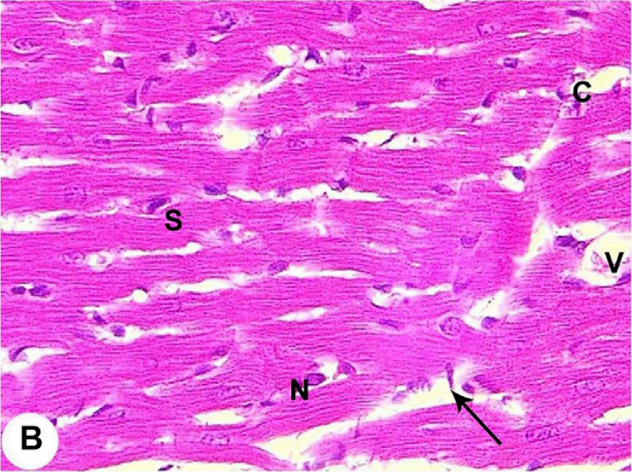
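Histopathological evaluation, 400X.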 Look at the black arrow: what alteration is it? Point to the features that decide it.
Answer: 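Increased interstitial space. The arrow points to a pale gap between fibres. Irregular empty clefts separate many fibres.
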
